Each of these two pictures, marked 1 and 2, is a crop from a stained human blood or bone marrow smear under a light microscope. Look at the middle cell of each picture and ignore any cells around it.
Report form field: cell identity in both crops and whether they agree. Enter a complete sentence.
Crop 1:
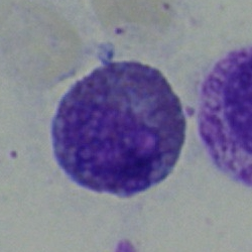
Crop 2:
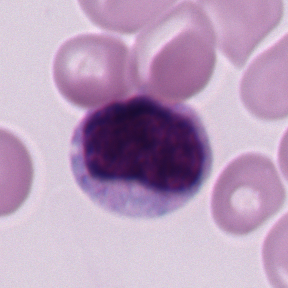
No, crop 1 contains an eosinophil, while crop 2 contains a metamyelocyte.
